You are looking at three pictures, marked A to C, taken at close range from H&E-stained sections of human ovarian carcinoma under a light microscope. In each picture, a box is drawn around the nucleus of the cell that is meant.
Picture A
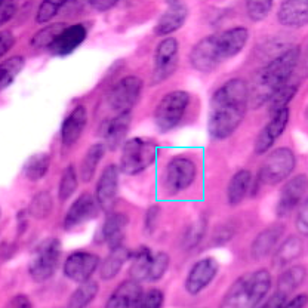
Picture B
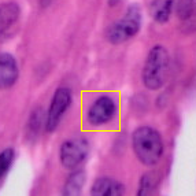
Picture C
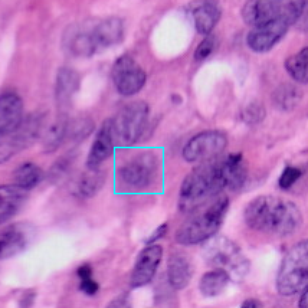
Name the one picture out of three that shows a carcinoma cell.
C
